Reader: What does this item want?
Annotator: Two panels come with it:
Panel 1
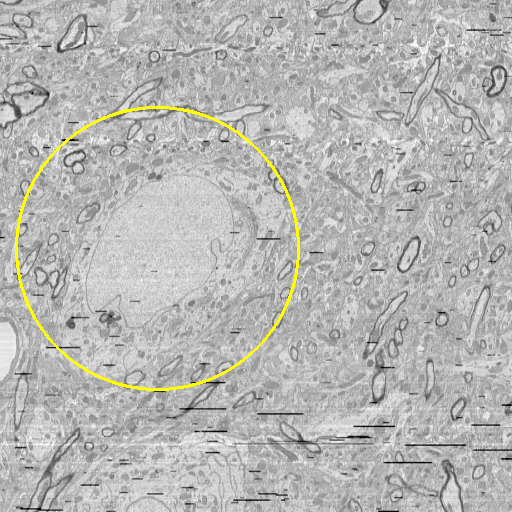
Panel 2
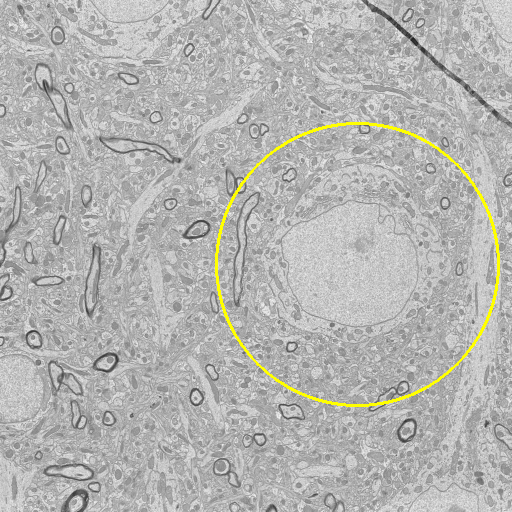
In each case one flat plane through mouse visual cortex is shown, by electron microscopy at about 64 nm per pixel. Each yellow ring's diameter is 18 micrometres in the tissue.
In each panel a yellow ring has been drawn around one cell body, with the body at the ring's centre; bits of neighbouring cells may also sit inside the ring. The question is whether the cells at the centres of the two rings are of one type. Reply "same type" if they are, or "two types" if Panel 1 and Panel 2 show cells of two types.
same type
